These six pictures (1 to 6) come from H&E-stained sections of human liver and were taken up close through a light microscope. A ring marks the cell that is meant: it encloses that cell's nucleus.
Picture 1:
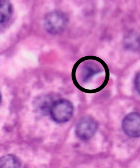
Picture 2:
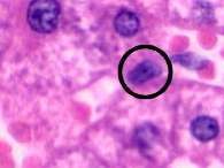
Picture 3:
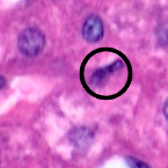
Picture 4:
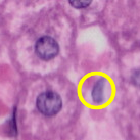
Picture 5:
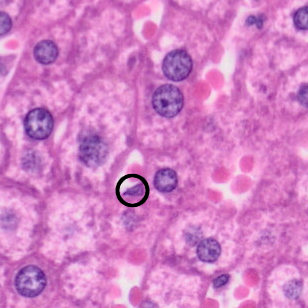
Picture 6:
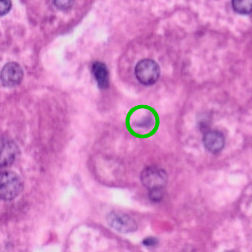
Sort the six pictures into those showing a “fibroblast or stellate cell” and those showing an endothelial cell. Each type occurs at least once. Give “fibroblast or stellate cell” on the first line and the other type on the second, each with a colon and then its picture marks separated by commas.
fibroblast or stellate cell: 2, 3
endothelial cell: 1, 4, 5, 6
